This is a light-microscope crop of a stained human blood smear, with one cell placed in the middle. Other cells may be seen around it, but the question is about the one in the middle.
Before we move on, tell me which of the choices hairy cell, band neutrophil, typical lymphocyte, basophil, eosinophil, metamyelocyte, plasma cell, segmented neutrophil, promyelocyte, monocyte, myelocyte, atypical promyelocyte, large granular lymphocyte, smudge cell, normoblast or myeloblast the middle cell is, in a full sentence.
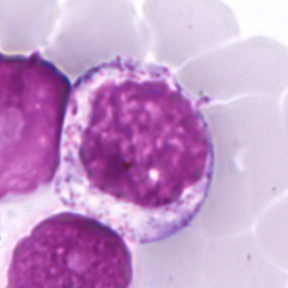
The centrally placed cell is classified as a myelocyte.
